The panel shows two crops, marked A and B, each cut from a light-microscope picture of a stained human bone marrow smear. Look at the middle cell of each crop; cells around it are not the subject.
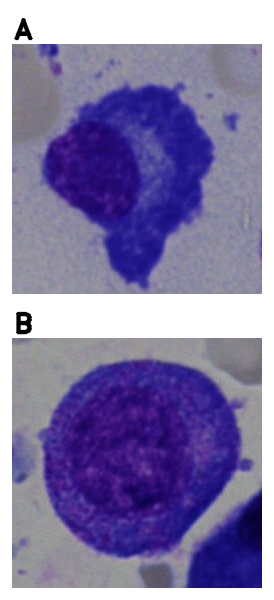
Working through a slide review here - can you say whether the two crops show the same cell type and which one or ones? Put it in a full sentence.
No, that is not right; crop A shows a plasma cell and crop B shows a promyelocyte.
